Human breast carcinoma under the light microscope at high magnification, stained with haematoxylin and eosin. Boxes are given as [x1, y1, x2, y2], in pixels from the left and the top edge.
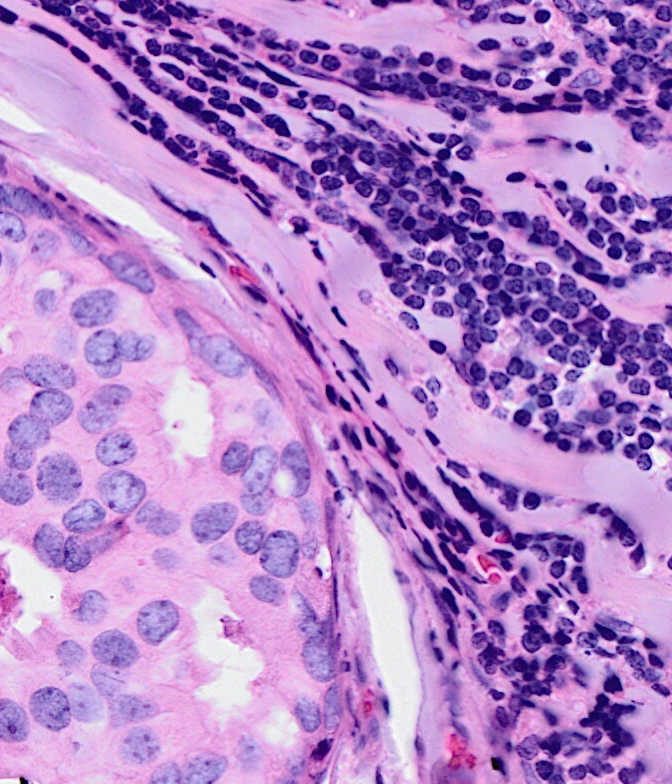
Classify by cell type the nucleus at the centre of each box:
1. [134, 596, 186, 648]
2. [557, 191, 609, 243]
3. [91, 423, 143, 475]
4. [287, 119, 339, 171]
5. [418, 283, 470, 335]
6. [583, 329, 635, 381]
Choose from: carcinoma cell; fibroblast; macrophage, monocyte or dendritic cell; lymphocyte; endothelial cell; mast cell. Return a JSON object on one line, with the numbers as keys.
{"1": "carcinoma cell", "2": "lymphocyte", "3": "carcinoma cell", "4": "lymphocyte", "5": "lymphocyte", "6": "lymphocyte"}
